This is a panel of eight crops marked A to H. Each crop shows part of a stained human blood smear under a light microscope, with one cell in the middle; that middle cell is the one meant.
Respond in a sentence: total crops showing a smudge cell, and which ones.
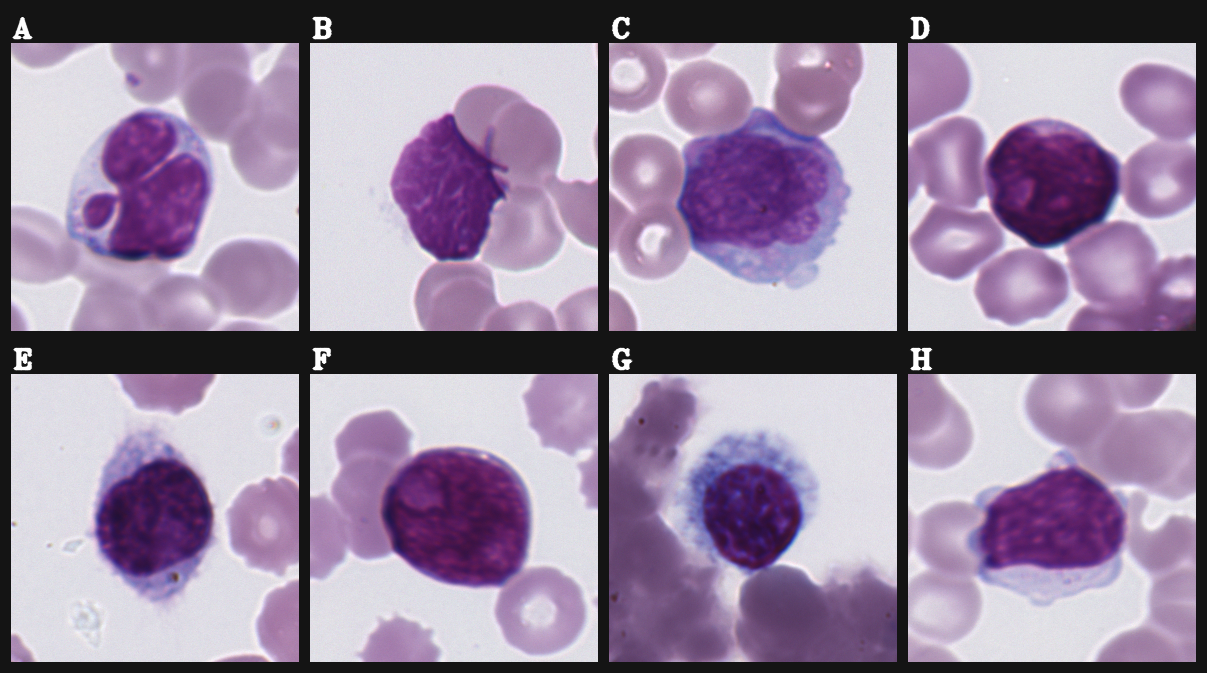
Exactly one of these crops, crop B, has a smudge cell in the middle.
